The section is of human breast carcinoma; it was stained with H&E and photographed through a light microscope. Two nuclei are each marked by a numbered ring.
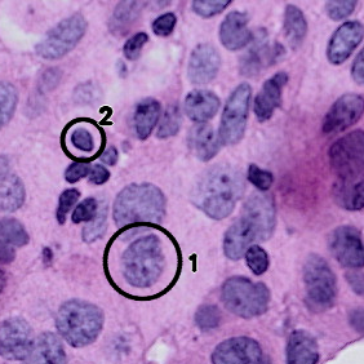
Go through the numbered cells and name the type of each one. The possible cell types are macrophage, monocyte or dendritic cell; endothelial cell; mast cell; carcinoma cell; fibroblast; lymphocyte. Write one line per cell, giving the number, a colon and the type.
1: carcinoma cell
2: lymphocyte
